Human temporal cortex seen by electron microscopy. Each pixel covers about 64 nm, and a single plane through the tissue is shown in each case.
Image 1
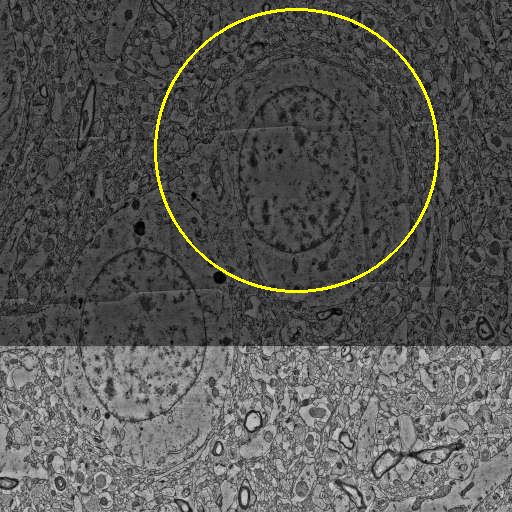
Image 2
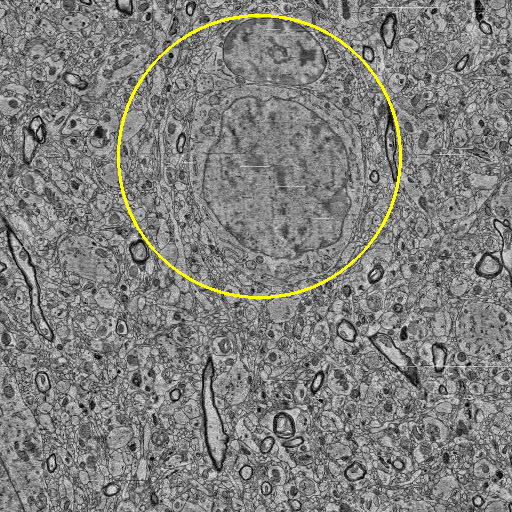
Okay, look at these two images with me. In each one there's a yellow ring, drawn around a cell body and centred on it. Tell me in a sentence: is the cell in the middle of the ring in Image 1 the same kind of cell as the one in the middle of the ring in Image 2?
No, they're two kinds of cell.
